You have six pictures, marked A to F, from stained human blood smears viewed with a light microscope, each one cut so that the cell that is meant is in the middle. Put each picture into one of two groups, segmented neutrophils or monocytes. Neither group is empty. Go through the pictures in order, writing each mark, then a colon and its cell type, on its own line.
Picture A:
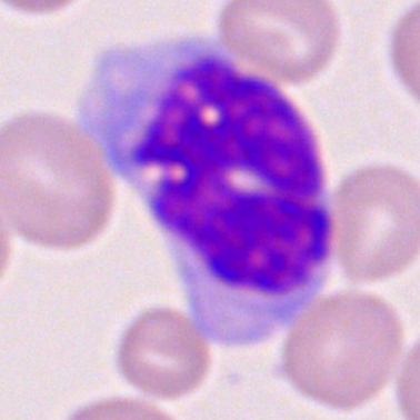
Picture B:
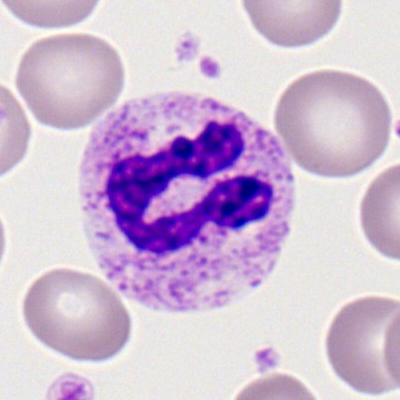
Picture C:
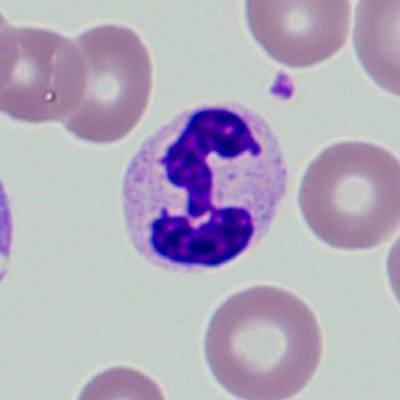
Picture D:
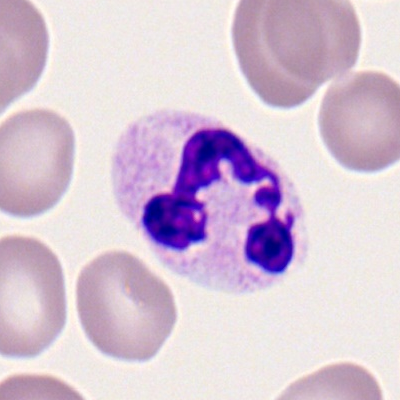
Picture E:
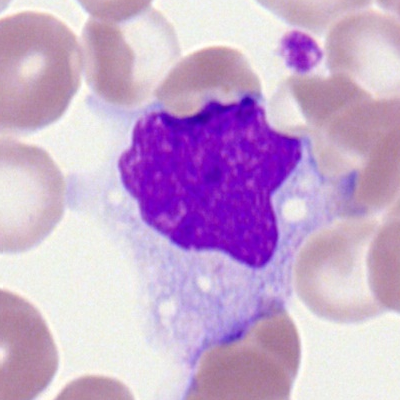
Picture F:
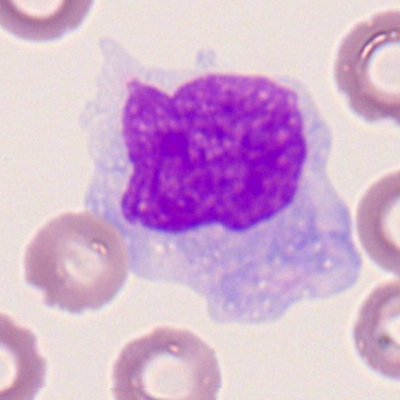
A: monocyte
B: segmented neutrophil
C: segmented neutrophil
D: segmented neutrophil
E: monocyte
F: monocyte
